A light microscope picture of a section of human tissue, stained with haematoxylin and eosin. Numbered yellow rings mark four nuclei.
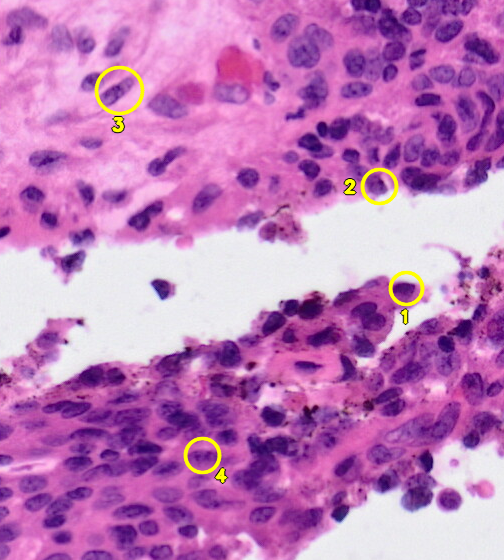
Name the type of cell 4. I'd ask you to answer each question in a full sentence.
In this section, the cell tagged 4 is a carcinoma cell.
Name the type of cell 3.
The numeral 3 marks a fibroblast in this section.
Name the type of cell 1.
The cell numbered 1 has been identified as a carcinoma cell.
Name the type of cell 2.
Of the numbered cells, the one labelled 2 is a carcinoma cell.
